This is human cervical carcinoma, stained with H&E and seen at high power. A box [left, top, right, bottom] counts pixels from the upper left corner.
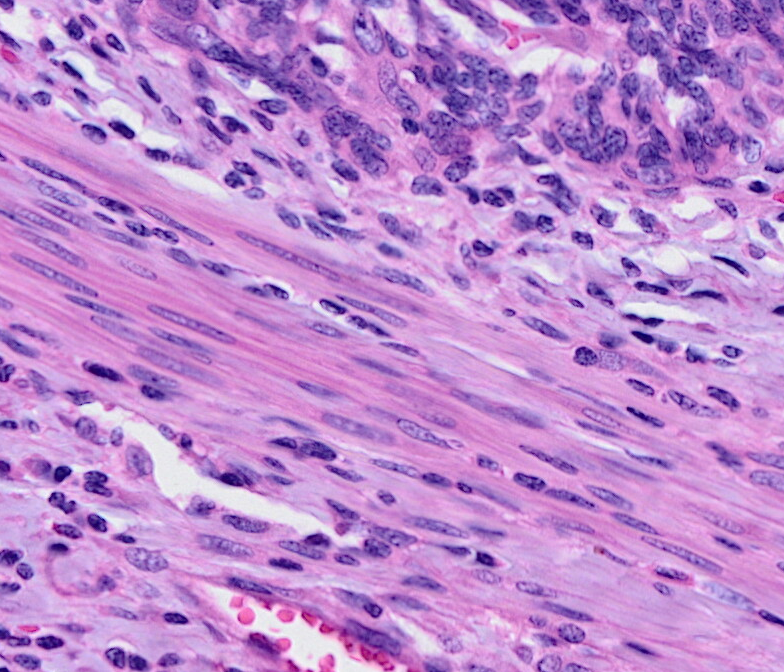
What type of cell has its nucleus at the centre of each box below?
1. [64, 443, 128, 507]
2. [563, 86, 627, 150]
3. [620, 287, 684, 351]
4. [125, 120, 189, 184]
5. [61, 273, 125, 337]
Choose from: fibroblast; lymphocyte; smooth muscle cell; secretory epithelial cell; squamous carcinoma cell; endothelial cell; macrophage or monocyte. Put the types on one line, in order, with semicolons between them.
lymphocyte; squamous carcinoma cell; lymphocyte; lymphocyte; smooth muscle cell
